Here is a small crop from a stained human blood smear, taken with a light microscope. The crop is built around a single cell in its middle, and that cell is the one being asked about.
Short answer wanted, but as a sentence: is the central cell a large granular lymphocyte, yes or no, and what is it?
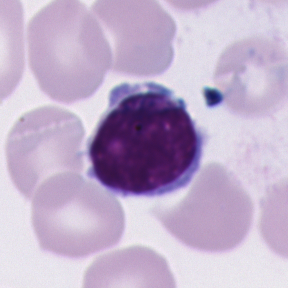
No, the cell positioned in the middle is a typical lymphocyte, not a large granular lymphocyte.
